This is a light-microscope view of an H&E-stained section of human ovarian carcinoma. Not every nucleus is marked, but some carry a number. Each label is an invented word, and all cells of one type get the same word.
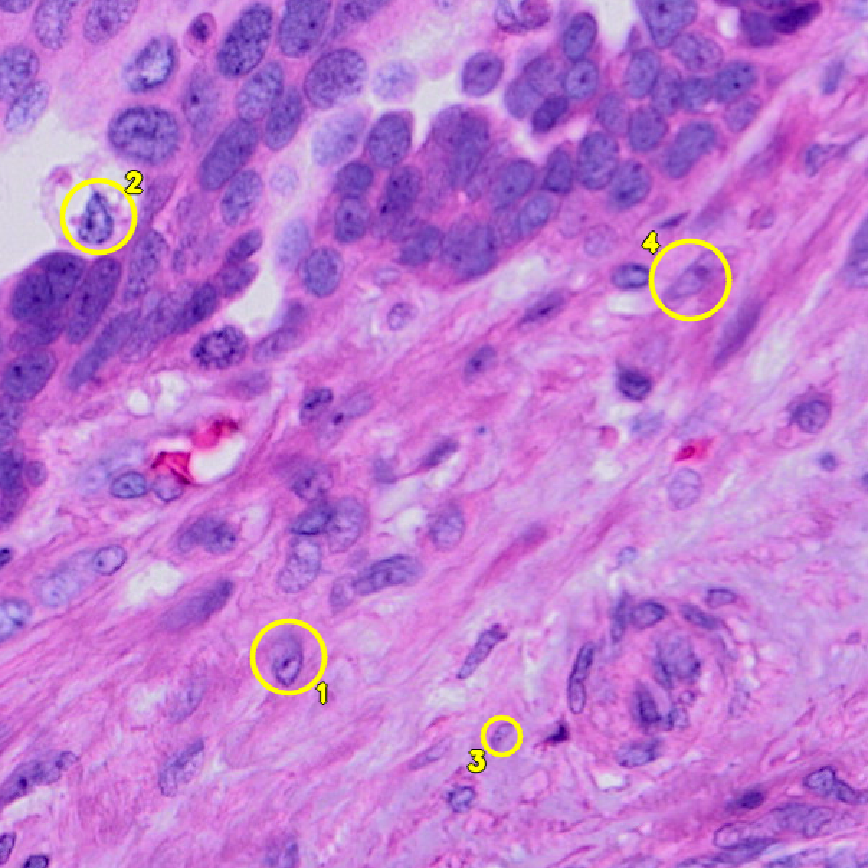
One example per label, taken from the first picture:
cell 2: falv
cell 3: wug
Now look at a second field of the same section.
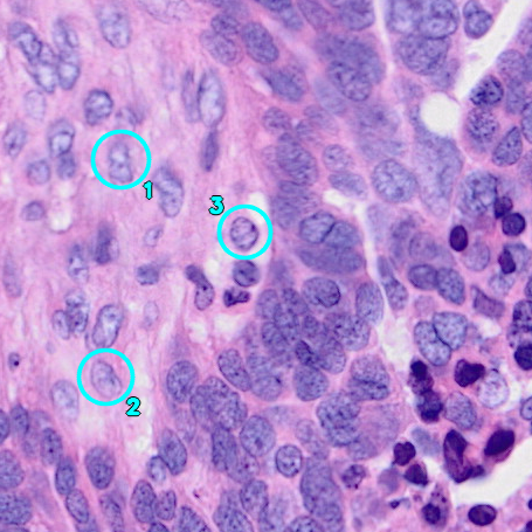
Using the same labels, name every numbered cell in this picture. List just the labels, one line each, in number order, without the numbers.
wug
wug
falv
